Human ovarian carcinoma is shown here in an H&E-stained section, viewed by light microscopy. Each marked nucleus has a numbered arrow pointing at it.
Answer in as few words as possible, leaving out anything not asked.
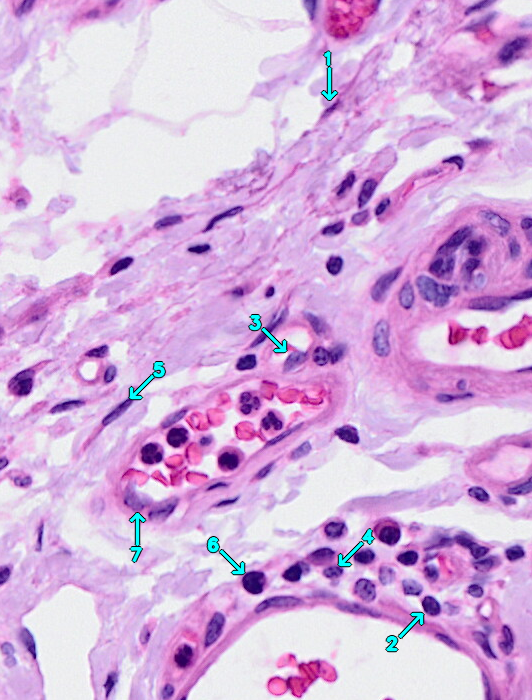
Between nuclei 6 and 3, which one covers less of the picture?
3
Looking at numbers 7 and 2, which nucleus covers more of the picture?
7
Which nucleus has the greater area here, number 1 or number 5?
5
